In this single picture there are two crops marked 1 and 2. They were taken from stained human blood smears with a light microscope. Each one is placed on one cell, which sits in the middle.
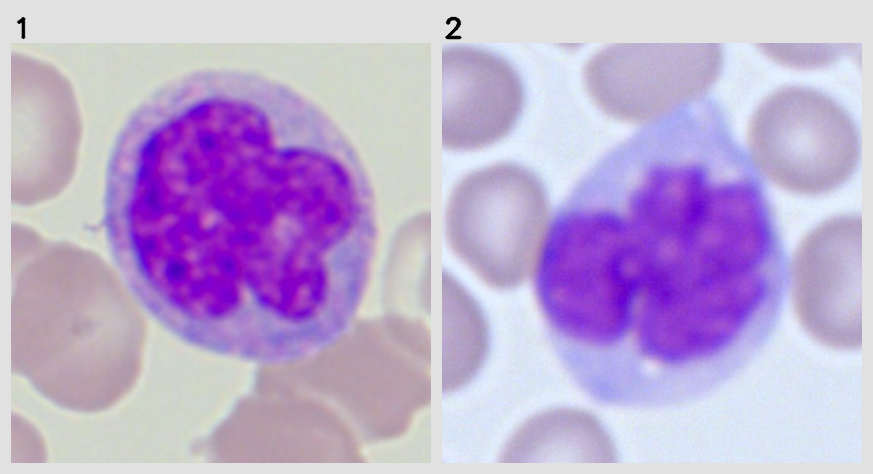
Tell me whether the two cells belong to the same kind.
yes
